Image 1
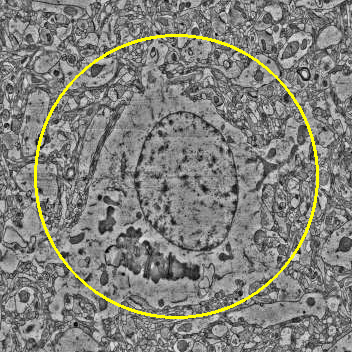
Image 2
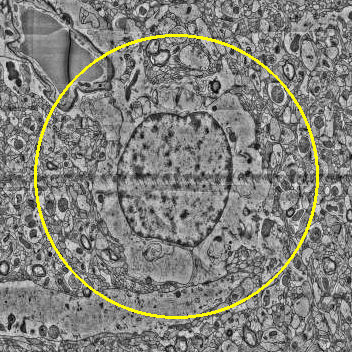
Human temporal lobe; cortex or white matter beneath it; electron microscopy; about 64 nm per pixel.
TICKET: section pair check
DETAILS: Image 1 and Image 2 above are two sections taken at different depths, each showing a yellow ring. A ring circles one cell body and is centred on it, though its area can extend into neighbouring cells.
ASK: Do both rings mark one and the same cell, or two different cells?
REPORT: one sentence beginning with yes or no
No, the cell in one ring is not the cell in the other.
